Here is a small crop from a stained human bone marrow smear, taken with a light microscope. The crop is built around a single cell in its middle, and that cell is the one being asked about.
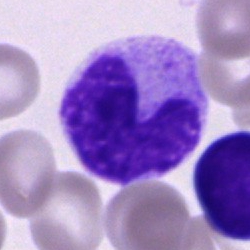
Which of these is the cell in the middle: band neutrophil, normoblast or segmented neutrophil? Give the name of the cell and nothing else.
band neutrophil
